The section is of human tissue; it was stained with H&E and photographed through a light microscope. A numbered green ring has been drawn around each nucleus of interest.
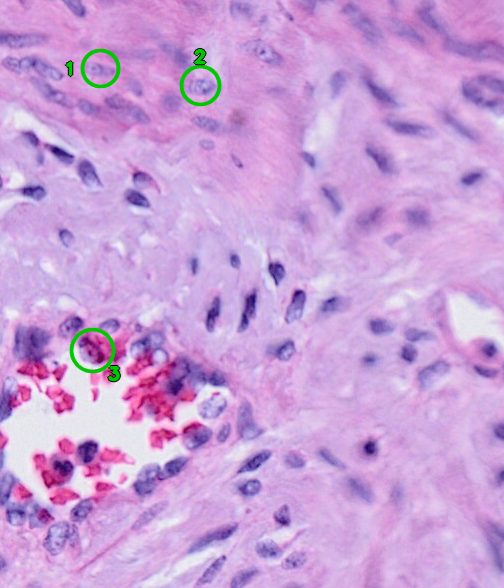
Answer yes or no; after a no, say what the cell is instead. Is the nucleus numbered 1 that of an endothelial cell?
No, it is a smooth muscle cell.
